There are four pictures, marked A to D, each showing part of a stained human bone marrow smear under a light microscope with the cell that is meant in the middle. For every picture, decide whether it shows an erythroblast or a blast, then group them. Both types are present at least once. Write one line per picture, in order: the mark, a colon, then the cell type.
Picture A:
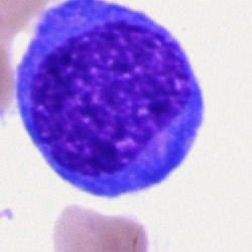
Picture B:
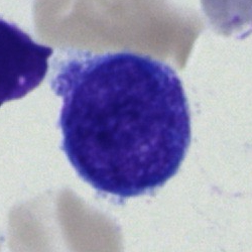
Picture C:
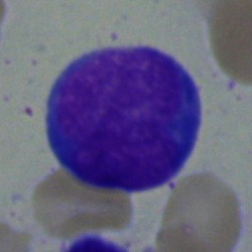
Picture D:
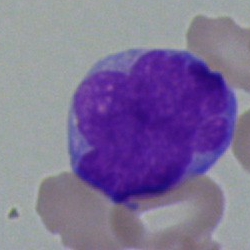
A: erythroblast
B: blast
C: blast
D: blast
